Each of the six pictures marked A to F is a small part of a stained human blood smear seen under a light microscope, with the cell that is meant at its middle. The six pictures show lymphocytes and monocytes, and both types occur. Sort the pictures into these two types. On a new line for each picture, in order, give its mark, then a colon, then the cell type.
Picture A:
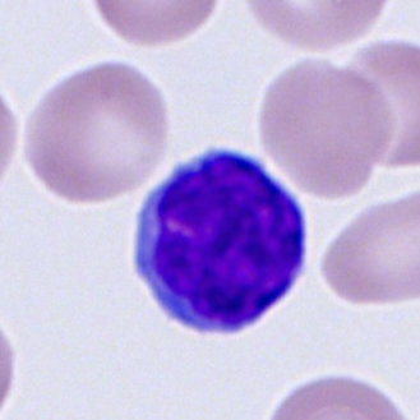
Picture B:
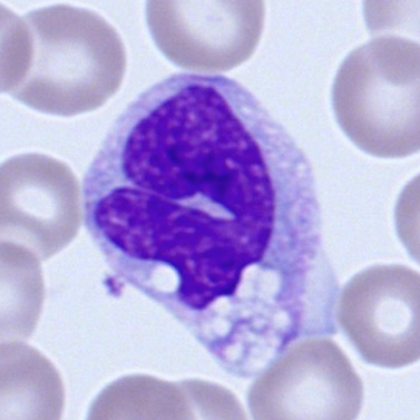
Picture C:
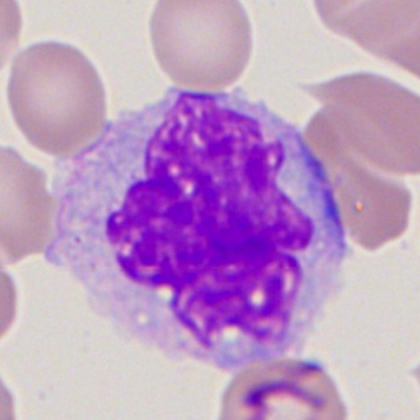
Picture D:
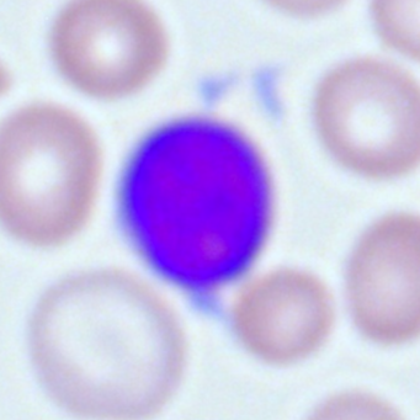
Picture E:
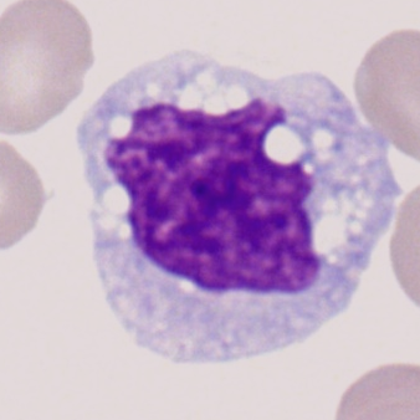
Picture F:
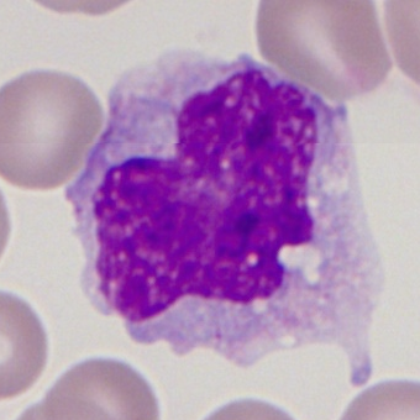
A: lymphocyte
B: monocyte
C: monocyte
D: lymphocyte
E: monocyte
F: monocyte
